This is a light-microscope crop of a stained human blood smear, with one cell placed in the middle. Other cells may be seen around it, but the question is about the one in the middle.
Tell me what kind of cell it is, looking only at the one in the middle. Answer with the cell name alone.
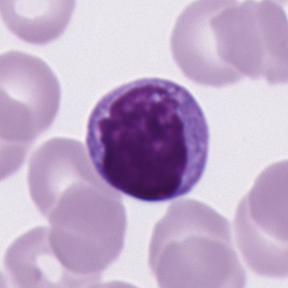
typical lymphocyte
